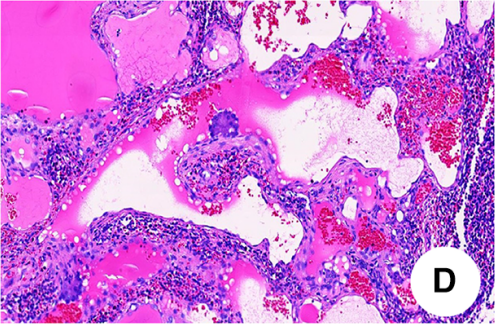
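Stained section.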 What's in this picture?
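Large, irregular, cyst-like lumens are filled with homogeneous pink fluid and clumps of red blood cells. Thin septa separate the lumens. These septa are lined by flattened to plump cells and contain small dark nuclei. Near the centre, a small rounded papillary tuft of cells projects into one lumen. Denser cellular tissue borders the vascular spaces at the right edge of the field.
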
